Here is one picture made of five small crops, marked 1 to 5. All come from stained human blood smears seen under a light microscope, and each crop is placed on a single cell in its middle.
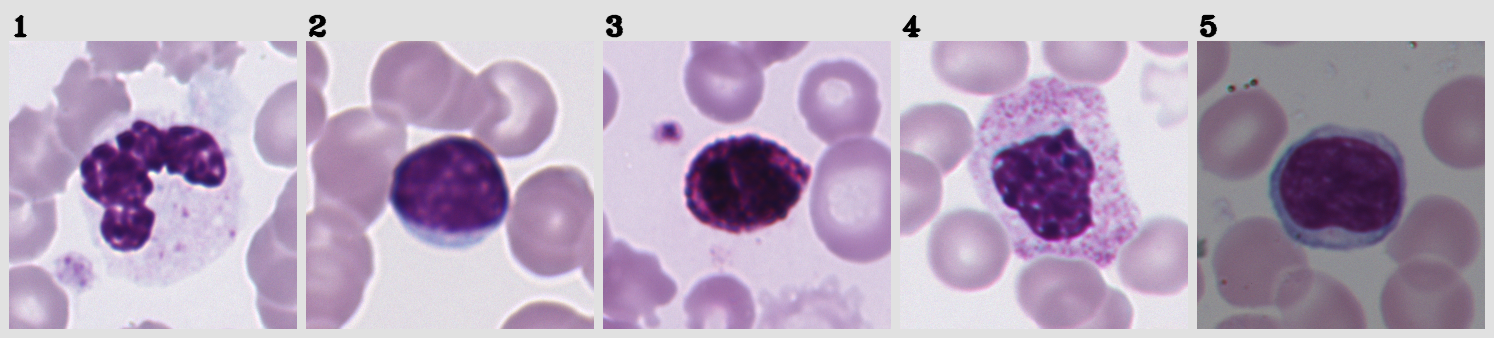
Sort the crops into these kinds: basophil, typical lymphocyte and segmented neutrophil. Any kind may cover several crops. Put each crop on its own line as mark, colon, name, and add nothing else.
1: segmented neutrophil
2: typical lymphocyte
3: basophil
4: segmented neutrophil
5: typical lymphocyte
